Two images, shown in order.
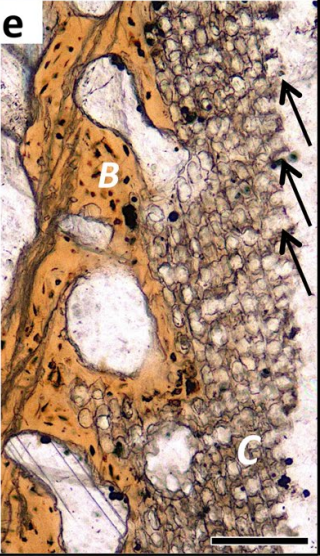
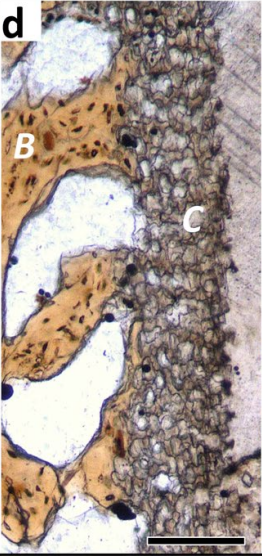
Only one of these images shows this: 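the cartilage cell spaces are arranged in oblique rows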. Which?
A: The first image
